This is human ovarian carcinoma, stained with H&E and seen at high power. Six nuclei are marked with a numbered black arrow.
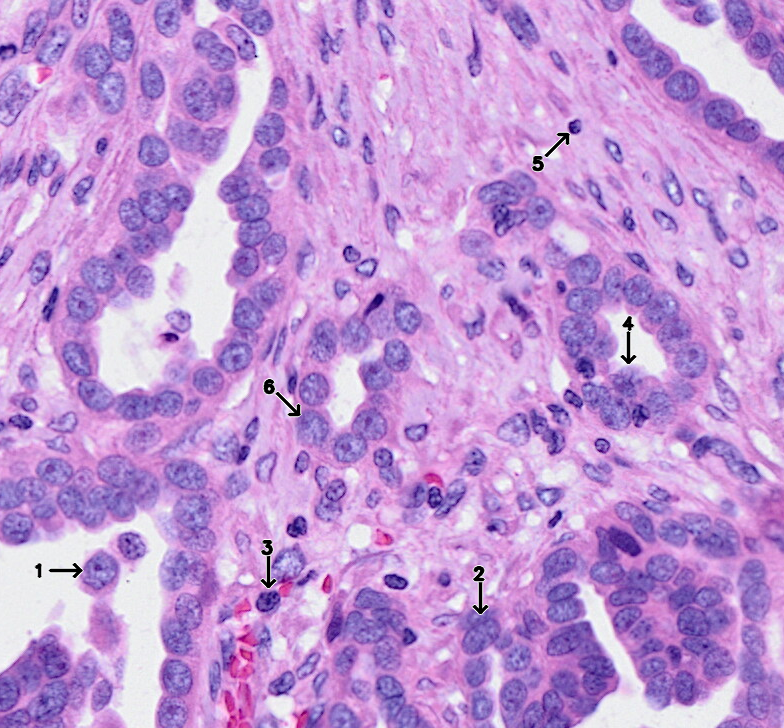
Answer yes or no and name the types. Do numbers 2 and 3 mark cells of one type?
No, cell 2 is a carcinoma cell and cell 3 is a lymphocyte.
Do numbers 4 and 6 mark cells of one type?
Yes, both are carcinoma cells.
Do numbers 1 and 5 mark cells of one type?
No, cell 1 is a carcinoma cell and cell 5 is a lymphocyte.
